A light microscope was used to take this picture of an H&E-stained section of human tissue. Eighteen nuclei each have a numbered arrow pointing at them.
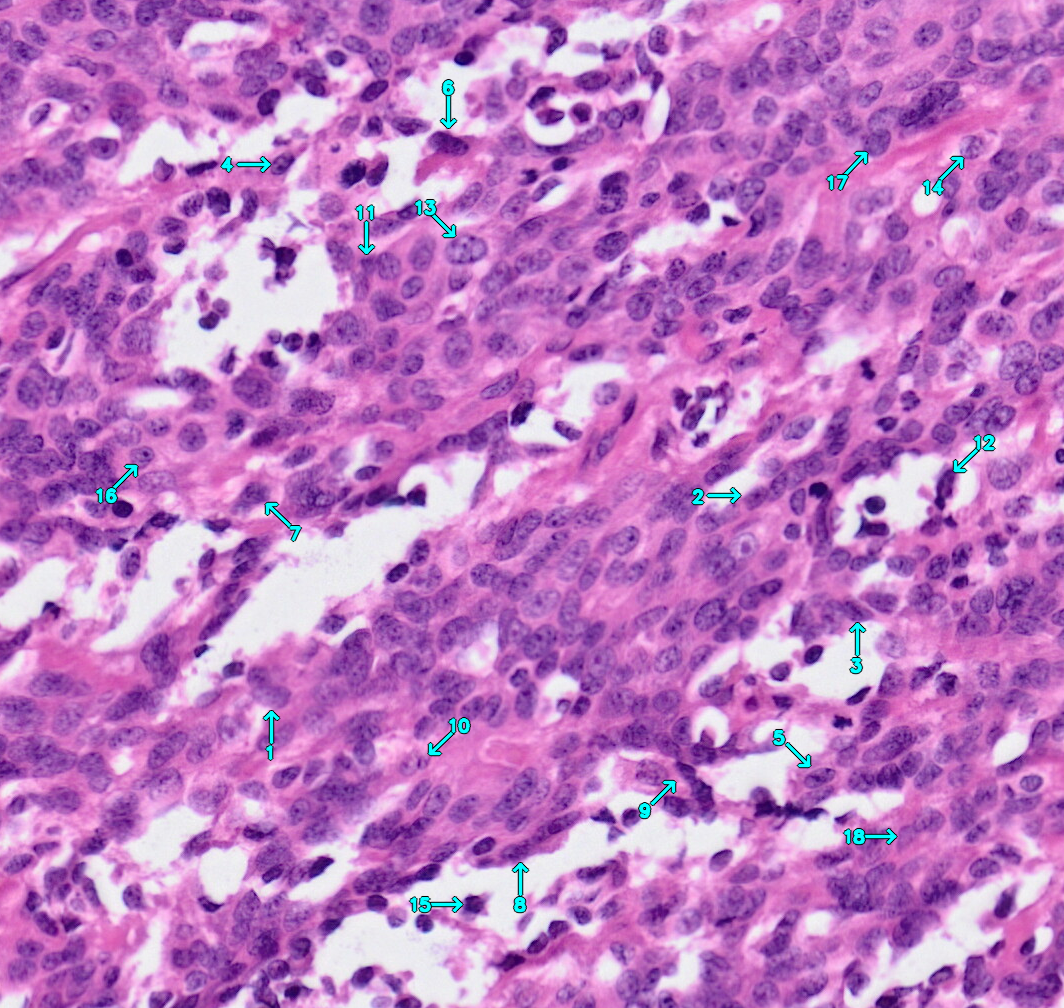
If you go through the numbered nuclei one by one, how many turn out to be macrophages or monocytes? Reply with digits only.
7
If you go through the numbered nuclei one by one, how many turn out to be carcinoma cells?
10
